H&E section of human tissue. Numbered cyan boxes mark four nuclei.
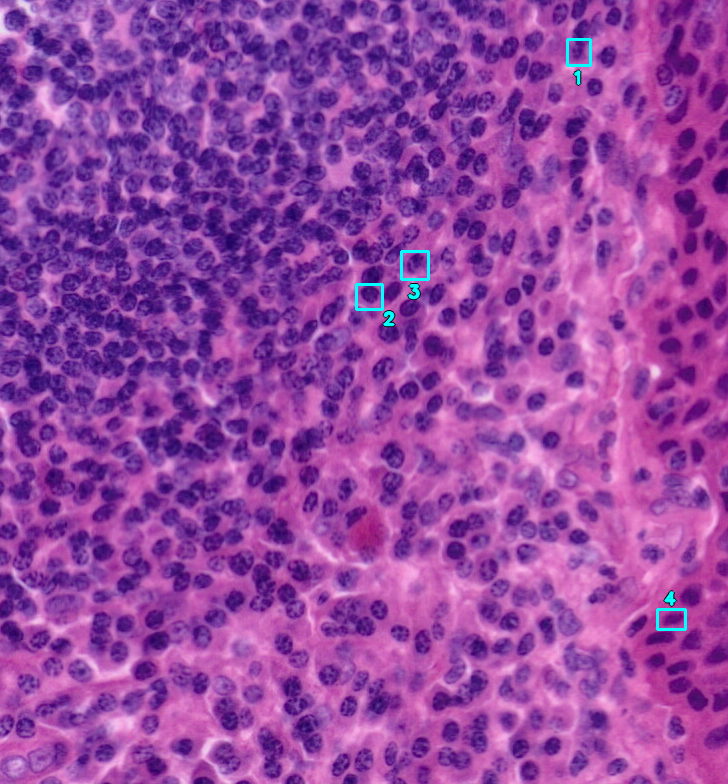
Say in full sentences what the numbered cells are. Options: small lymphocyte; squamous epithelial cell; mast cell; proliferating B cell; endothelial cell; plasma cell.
Cells 1, 2 and 3 are plasma cells. Cell 4 is a squamous epithelial cell.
